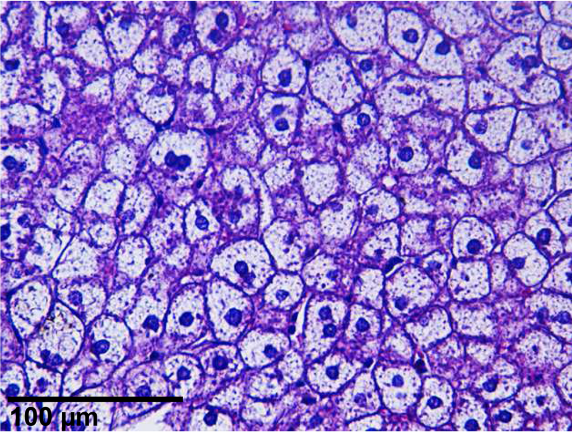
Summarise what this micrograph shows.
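Liver tissue with hepatocytes whose cytoplasm is largely clear. The cells are large polygonal cells with well-defined dark purple borders and round, centrally placed dark blue nuclei. Much of their cytoplasm is pale and empty-looking, with only fine purple granules and thin strands remaining. This gives the cells a vacuolated, washed-out appearance. The hepatocytes are packed closely together in a mosaic, and darker purple cytoplasm-rich areas lie between groups of clear cells. No vessel lumen is evident in this field.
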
